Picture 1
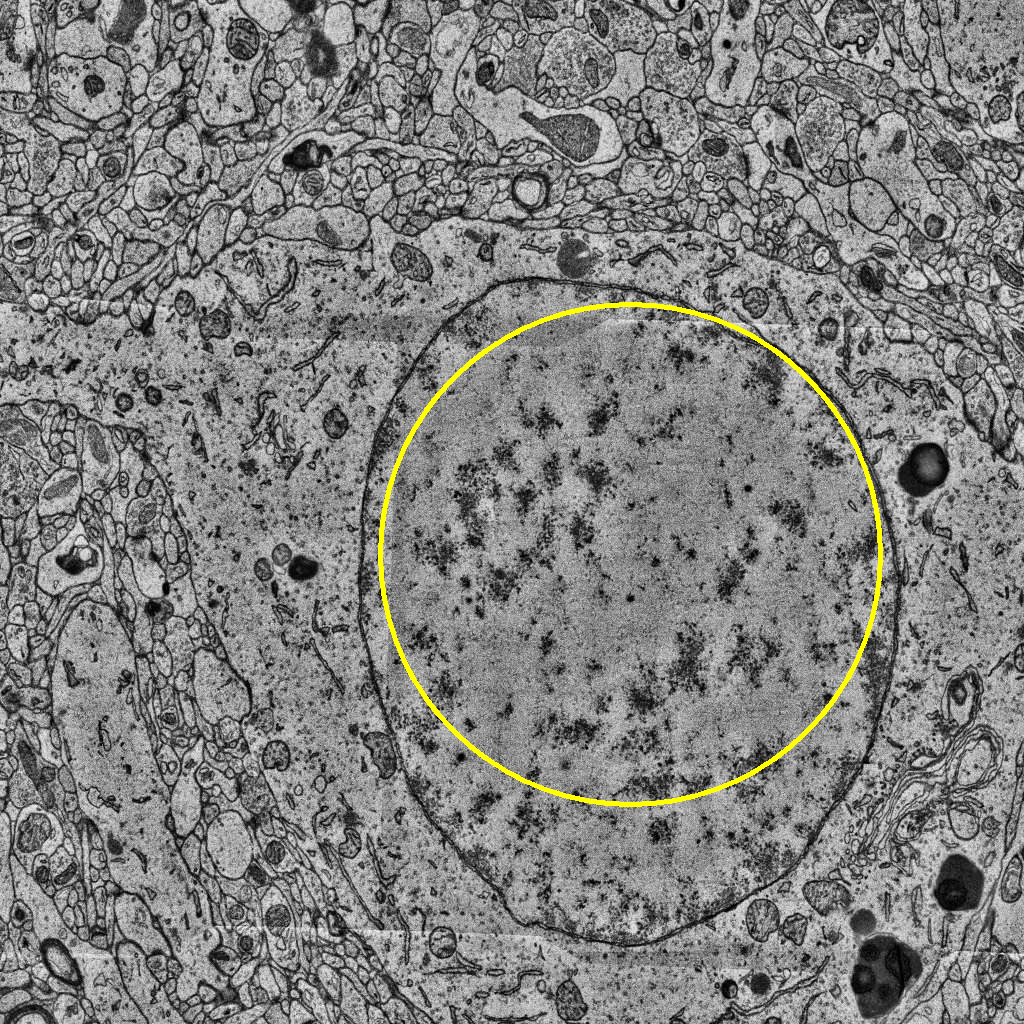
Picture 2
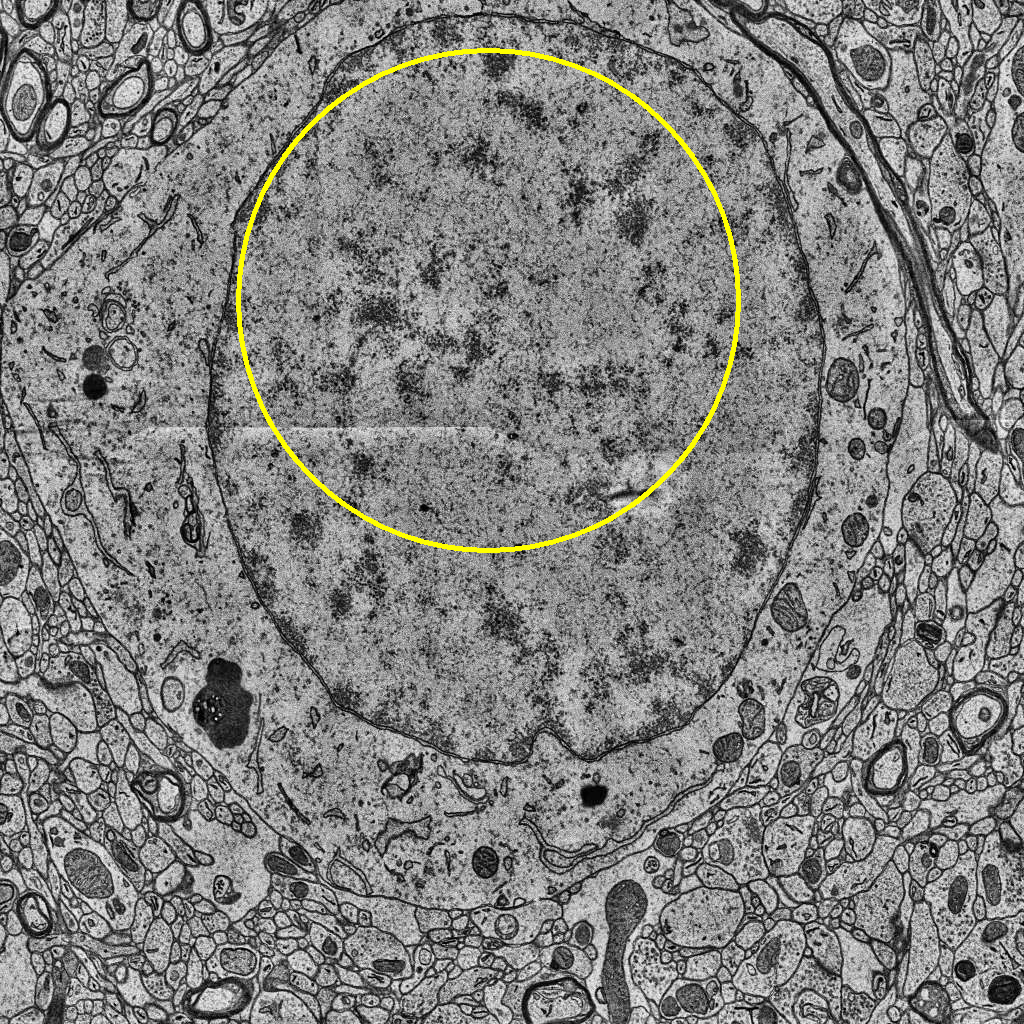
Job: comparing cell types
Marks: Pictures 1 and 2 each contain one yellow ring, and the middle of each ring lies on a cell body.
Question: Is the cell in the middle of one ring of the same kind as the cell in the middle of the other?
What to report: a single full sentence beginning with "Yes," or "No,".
Yes, the cell at the ring centre in Picture 1 and its partner in Picture 2 are of one kind.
